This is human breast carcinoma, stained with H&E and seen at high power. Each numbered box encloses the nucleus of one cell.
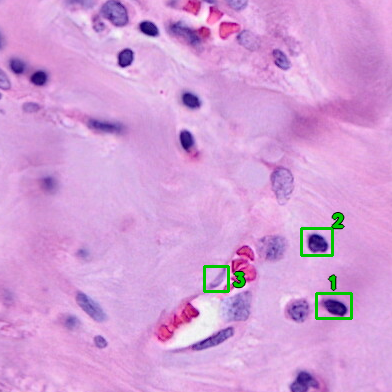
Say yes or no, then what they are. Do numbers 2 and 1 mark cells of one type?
Yes, cells 2 and 1 are both recognised as lymphocytes.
